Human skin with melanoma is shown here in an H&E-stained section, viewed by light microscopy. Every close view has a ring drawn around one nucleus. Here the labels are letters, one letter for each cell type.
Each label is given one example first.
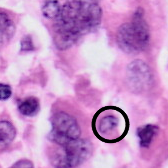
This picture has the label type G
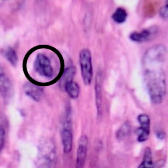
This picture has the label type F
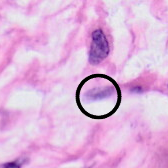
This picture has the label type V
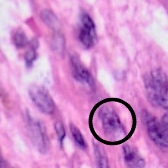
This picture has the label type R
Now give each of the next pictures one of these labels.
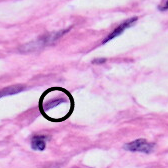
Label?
type V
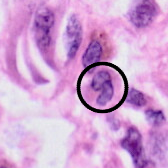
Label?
type G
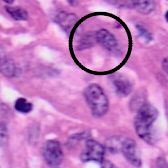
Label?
type R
